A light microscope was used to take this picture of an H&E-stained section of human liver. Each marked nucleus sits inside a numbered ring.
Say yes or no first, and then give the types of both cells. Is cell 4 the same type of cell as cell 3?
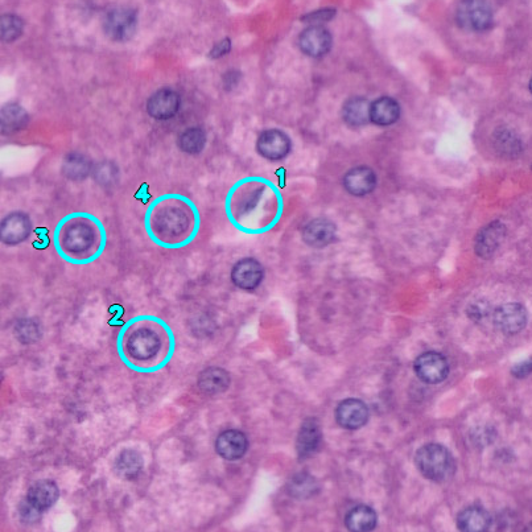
Yes, both of cells 4 and 3 are hepatocytes.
